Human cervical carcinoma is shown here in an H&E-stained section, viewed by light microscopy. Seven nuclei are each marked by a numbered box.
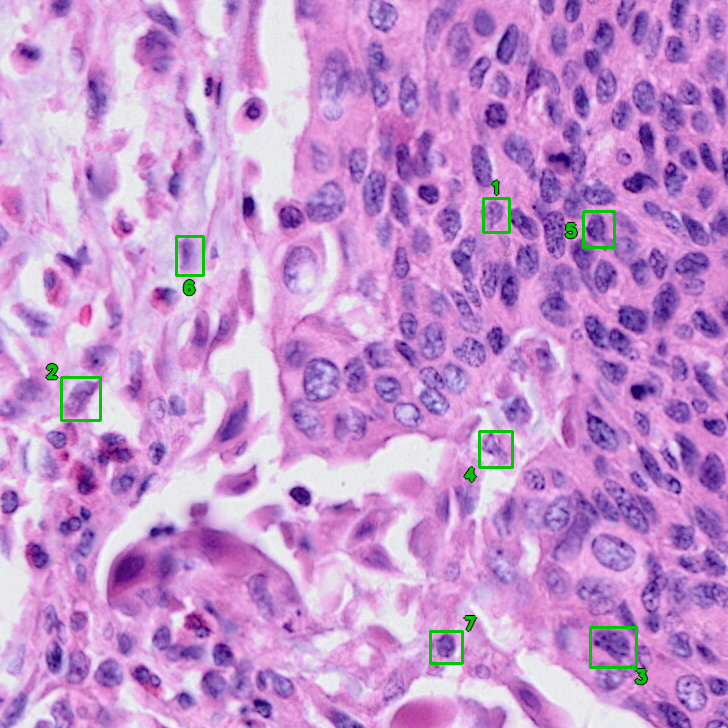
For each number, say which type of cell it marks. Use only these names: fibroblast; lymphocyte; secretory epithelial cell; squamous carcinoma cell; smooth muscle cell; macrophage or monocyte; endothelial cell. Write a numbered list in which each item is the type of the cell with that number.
1. squamous carcinoma cell
2. fibroblast
3. squamous carcinoma cell
4. macrophage or monocyte
5. squamous carcinoma cell
6. fibroblast
7. macrophage or monocyte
